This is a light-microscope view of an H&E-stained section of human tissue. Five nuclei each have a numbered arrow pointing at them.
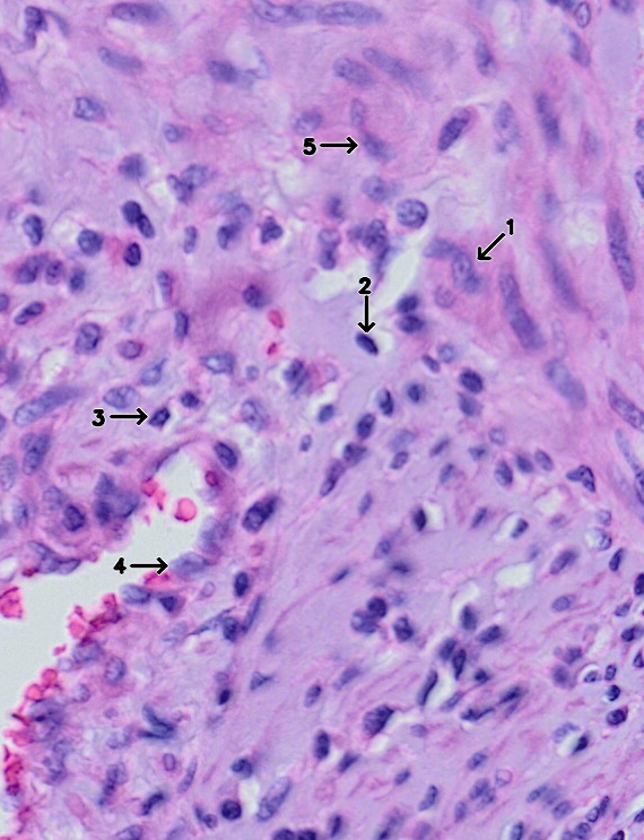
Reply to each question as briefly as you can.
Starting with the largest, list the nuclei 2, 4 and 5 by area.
4, 5, 2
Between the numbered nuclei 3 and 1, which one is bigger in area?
1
